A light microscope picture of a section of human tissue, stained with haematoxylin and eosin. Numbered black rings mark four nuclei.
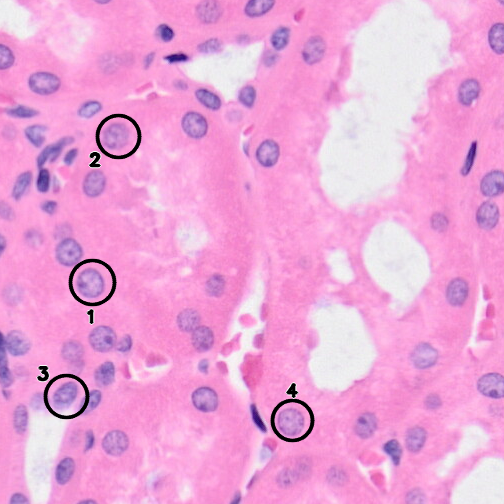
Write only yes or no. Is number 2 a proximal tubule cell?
yes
